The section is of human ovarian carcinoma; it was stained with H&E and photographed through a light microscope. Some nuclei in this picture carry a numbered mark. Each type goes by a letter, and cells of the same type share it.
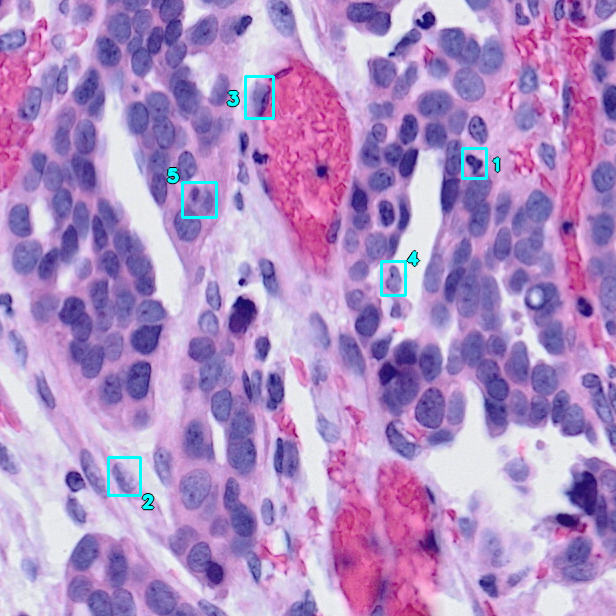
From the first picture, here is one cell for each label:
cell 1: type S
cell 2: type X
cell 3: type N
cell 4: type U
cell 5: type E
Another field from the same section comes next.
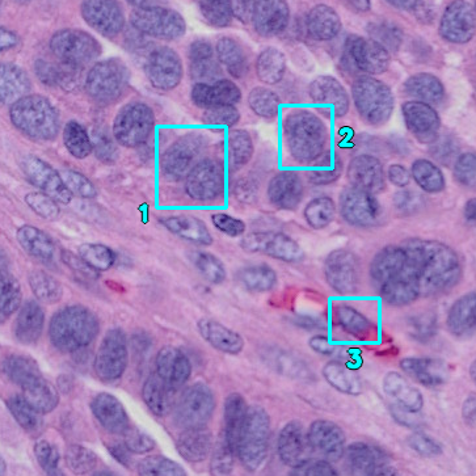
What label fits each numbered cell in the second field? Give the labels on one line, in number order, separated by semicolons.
type E; type E; type N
